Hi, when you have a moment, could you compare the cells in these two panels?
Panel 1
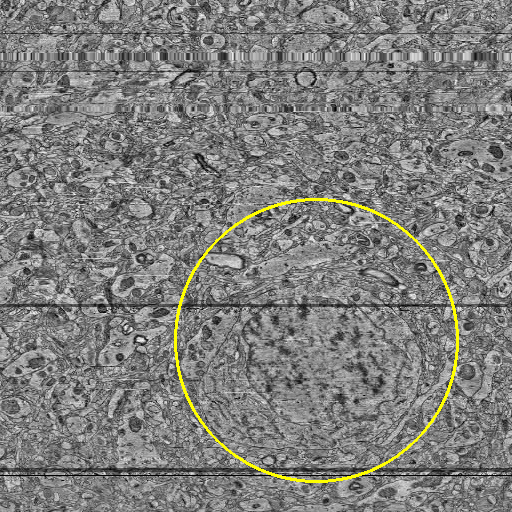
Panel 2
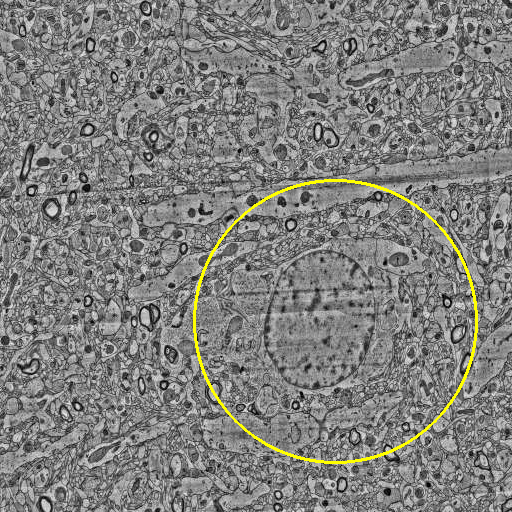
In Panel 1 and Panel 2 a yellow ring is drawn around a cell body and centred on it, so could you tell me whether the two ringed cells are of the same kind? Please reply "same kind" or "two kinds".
two kinds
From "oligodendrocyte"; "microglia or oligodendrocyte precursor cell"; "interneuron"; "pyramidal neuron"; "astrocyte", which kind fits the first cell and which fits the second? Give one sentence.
The cell marked in the first picture is an interneuron, and the one marked in the second is an astrocyte.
